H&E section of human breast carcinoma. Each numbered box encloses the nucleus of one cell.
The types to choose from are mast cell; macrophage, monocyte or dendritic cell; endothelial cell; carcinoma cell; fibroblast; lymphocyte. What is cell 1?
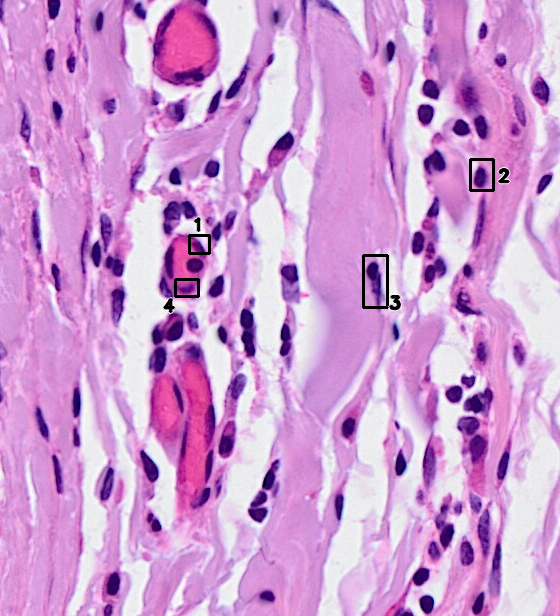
endothelial cell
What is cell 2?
lymphocyte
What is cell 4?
endothelial cell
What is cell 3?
fibroblast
